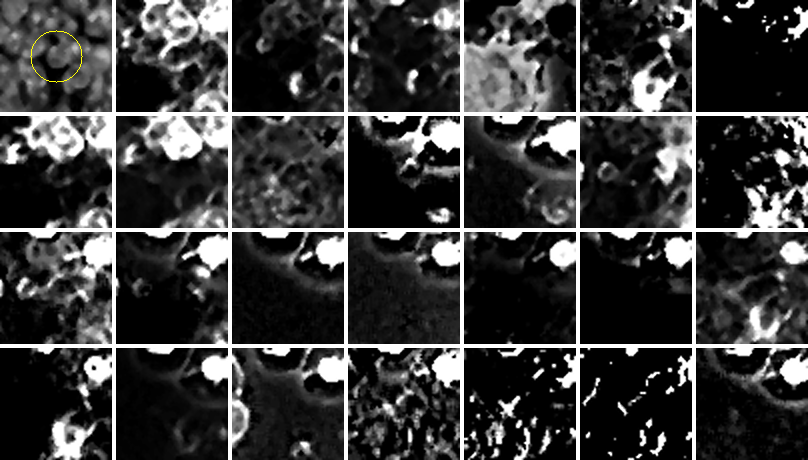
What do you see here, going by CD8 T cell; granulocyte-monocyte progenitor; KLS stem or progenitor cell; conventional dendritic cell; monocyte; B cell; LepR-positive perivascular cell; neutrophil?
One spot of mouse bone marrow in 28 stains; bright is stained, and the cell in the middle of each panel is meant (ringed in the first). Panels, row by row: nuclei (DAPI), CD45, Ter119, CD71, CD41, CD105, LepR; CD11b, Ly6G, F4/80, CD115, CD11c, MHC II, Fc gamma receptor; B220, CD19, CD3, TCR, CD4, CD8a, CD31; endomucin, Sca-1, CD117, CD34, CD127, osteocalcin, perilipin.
I see a monocyte.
